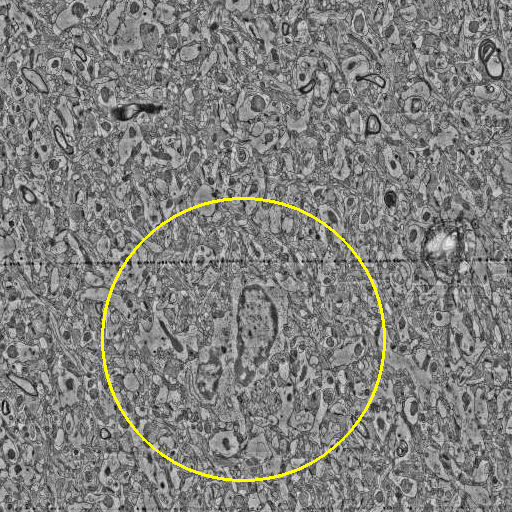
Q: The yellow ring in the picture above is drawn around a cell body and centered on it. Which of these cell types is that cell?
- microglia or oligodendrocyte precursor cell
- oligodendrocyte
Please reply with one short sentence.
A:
The cell body at the ring's center belongs to a microglial cell or oligodendrocyte precursor cell.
